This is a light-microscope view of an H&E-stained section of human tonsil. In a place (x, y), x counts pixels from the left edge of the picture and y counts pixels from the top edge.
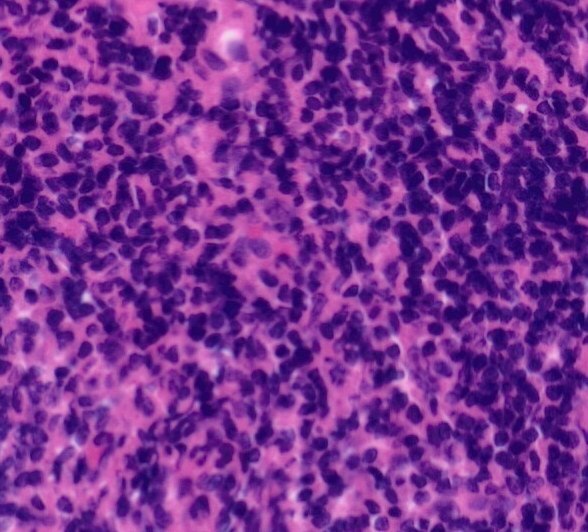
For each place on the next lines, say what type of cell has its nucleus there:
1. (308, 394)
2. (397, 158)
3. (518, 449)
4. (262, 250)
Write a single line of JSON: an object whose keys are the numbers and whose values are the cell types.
{"1": "small lymphocyte", "2": "small lymphocyte", "3": "small lymphocyte", "4": "endothelial cell"}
